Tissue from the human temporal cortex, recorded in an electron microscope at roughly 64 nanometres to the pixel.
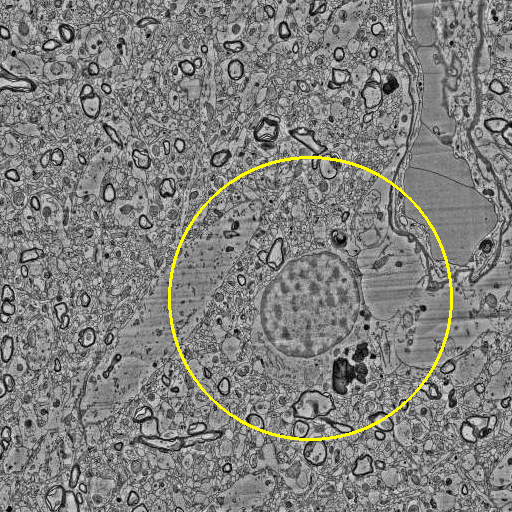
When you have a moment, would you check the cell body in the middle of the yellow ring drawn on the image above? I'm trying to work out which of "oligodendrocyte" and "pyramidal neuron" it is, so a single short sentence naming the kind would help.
This cell body belongs to an oligodendrocyte.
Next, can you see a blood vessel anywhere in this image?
Yes, there is a blood vessel.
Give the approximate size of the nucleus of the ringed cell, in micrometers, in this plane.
In this plane, the nucleus measures approximately 7 micrometres across.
